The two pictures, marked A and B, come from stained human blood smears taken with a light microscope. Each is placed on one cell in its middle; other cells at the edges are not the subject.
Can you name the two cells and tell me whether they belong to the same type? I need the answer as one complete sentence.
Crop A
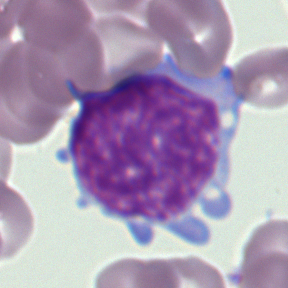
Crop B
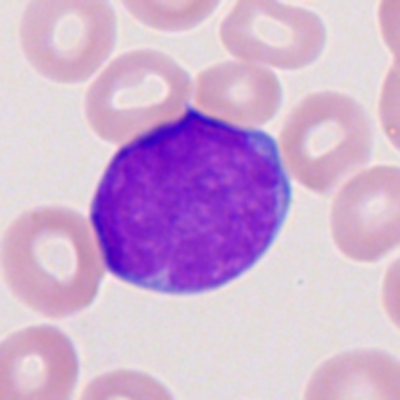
Yes, the cells that both crops show at the centre are blasts.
